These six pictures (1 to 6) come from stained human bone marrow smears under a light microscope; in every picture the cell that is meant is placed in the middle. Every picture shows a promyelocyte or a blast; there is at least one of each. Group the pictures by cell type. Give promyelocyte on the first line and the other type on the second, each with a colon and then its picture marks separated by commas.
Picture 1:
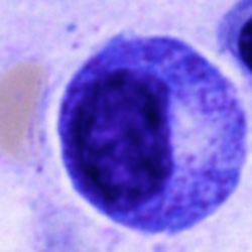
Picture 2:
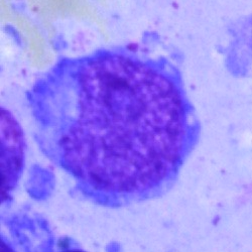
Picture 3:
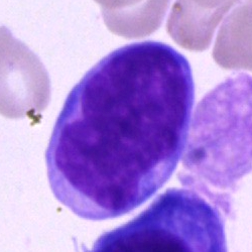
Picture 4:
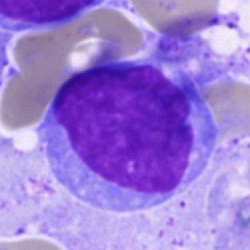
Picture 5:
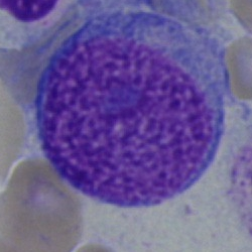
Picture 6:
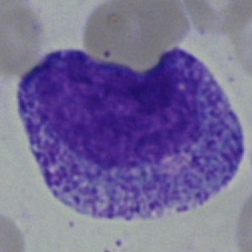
promyelocyte: 1, 6
blast: 2, 3, 4, 5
